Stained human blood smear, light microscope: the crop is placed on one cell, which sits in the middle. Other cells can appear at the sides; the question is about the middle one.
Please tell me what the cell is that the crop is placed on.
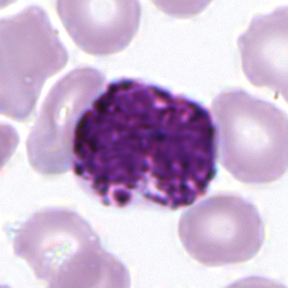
basophil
